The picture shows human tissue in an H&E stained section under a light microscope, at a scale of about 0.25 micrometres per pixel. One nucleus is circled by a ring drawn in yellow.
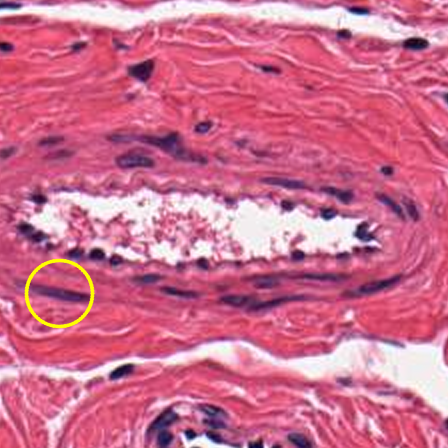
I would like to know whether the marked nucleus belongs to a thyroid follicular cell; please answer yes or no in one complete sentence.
No, in the section shown, the marked nucleus is not part of a thyroid follicular cell.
